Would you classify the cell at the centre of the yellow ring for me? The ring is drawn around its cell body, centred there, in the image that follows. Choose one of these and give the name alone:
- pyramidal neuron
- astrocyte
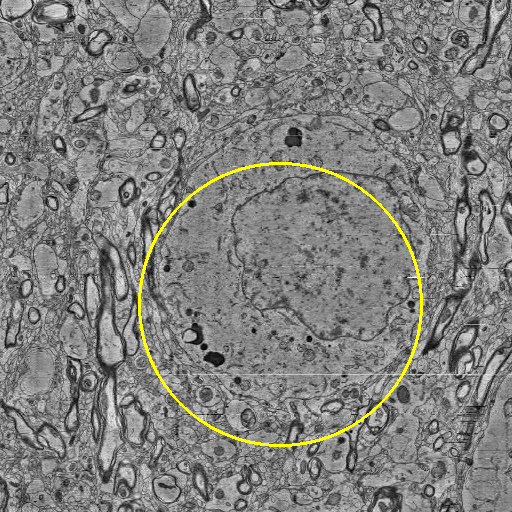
pyramidal neuron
